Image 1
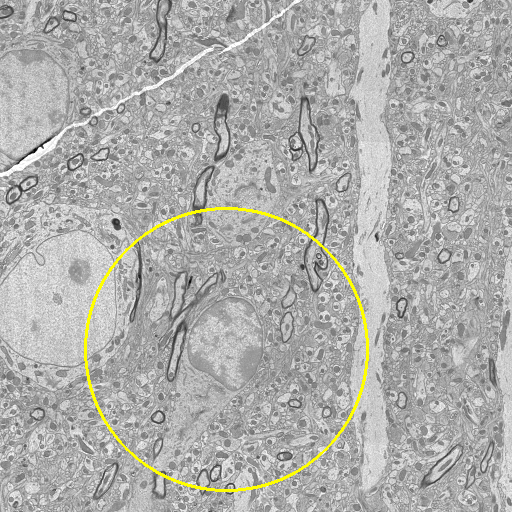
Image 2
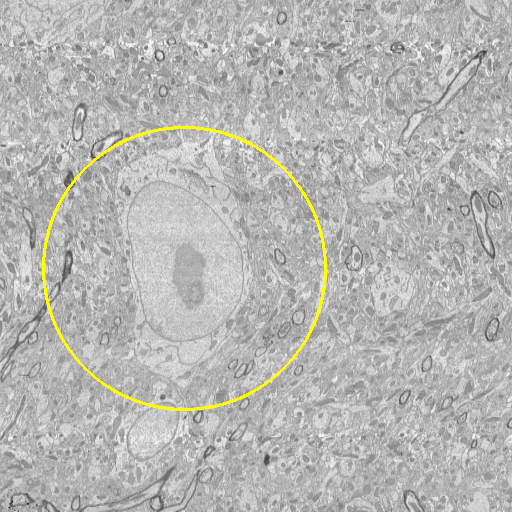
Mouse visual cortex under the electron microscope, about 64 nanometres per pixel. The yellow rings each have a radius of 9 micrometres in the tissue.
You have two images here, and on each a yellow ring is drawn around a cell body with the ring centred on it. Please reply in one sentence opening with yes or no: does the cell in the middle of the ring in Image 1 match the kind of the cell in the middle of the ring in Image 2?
No, the two images show cells of two kinds at the centres of their rings.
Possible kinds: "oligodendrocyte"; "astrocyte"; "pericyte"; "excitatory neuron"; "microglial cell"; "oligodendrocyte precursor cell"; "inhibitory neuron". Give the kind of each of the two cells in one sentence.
The cell in the second picture is an excitatory neuron, and that in the first is an oligodendrocyte.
